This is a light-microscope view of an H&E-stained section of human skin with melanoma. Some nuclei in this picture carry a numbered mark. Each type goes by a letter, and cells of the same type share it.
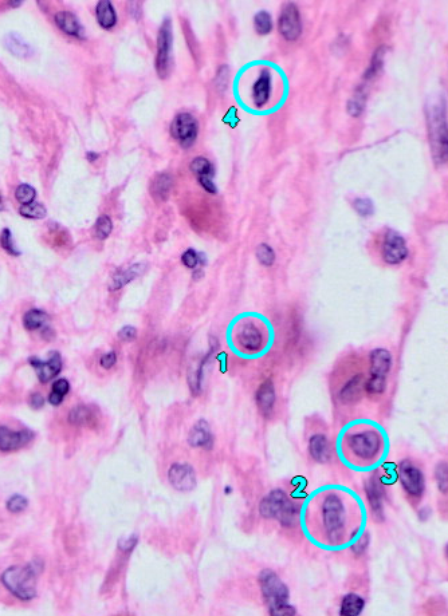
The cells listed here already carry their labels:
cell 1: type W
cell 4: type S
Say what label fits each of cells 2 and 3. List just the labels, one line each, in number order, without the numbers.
type W
type W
